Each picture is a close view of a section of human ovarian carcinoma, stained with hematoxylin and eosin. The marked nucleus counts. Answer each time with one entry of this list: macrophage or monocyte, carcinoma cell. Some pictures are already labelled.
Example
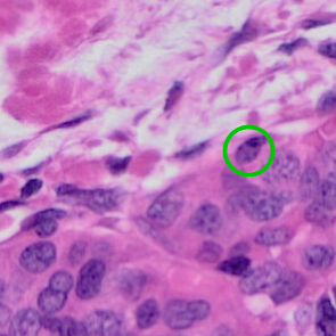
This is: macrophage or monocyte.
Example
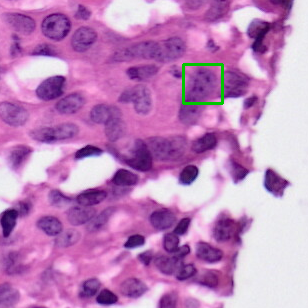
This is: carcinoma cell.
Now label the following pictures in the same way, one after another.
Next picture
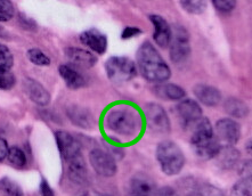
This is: macrophage or monocyte.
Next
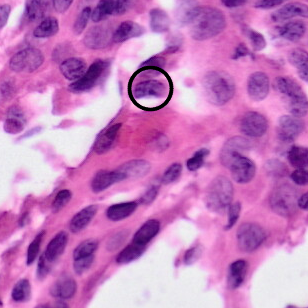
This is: macrophage or monocyte.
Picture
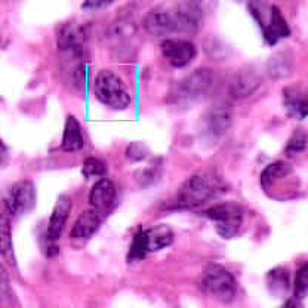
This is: macrophage or monocyte.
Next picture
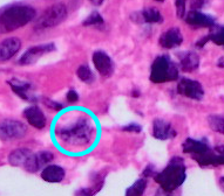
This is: macrophage or monocyte.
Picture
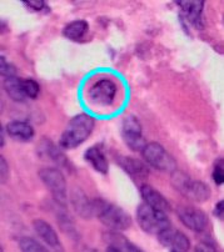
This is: macrophage or monocyte.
